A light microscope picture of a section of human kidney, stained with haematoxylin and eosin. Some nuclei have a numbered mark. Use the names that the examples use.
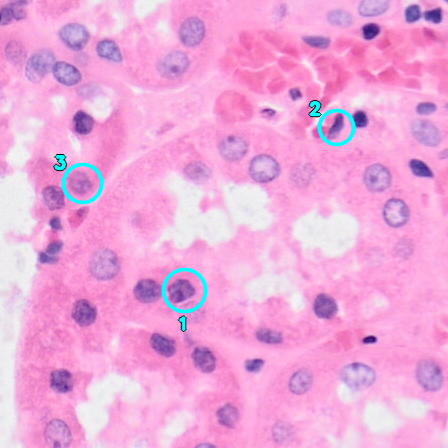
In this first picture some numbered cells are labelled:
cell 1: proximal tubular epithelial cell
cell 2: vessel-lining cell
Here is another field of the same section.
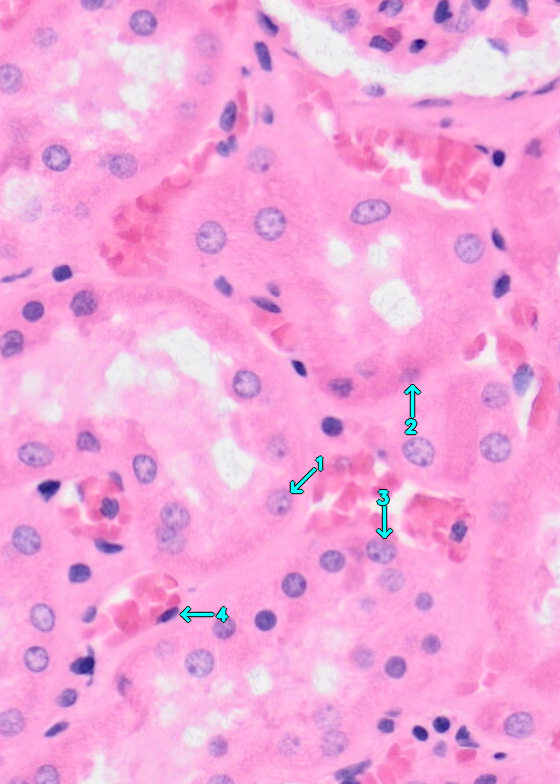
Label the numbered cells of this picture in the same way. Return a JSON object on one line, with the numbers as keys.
{"1": "proximal tubular epithelial cell", "2": "proximal tubular epithelial cell", "3": "proximal tubular epithelial cell", "4": "vessel-lining cell"}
